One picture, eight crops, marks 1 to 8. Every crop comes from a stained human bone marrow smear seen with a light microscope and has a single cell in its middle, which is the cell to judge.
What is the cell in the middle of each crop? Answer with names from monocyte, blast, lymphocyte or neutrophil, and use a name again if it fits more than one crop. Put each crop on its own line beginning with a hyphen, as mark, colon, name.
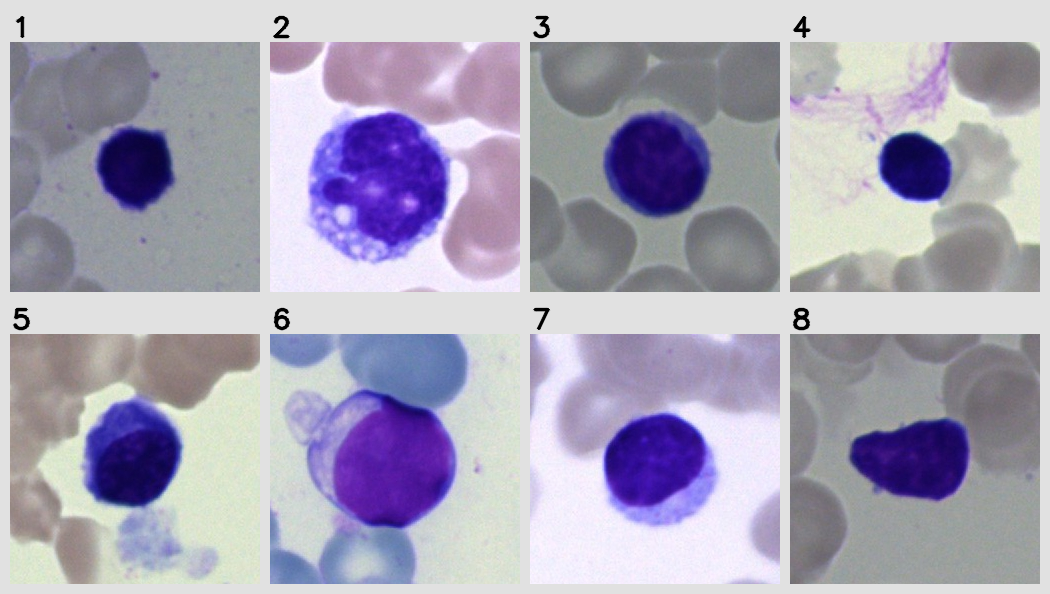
- 1: lymphocyte
- 2: monocyte
- 3: lymphocyte
- 4: lymphocyte
- 5: lymphocyte
- 6: lymphocyte
- 7: lymphocyte
- 8: lymphocyte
